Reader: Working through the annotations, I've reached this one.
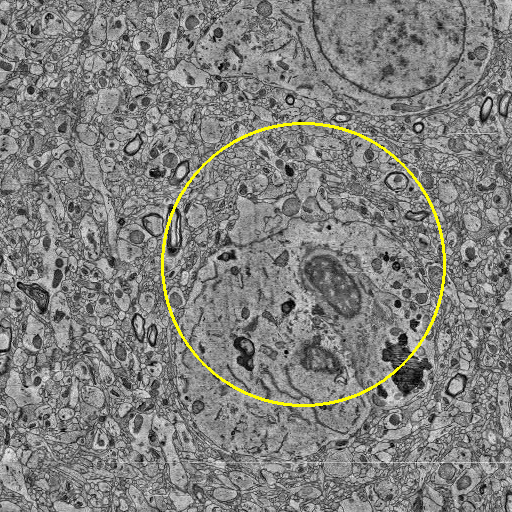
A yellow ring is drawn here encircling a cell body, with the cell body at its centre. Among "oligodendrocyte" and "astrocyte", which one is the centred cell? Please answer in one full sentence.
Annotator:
The cell body at the centre of the yellow ring in this image belongs to an oligodendrocyte.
